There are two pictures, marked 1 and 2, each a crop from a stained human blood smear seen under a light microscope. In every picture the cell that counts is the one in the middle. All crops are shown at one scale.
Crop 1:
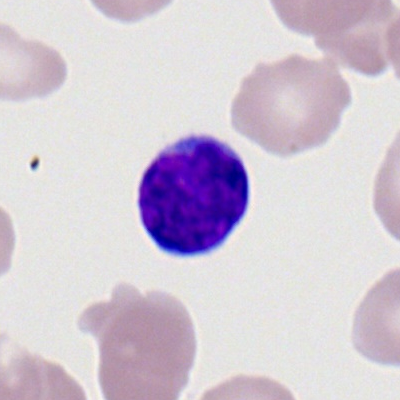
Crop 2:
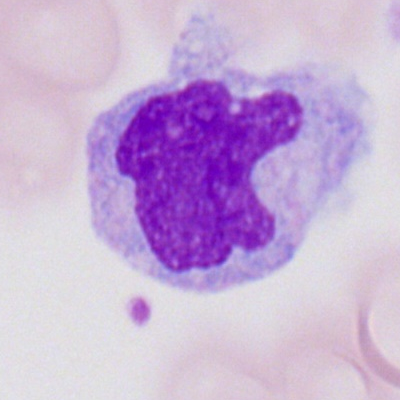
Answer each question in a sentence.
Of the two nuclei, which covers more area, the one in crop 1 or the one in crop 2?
The nucleus in crop 2 is larger, with about 2.5 times the area of the one in crop 1.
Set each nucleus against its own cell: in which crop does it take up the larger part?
It is the cell in crop 1 that is filled more by its nucleus.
